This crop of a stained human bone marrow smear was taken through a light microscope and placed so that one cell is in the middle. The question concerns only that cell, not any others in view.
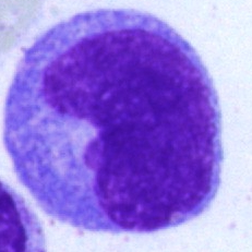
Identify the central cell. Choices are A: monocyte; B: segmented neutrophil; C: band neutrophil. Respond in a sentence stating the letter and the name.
The correct identification, given in option A, is that the central cell is a monocyte.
